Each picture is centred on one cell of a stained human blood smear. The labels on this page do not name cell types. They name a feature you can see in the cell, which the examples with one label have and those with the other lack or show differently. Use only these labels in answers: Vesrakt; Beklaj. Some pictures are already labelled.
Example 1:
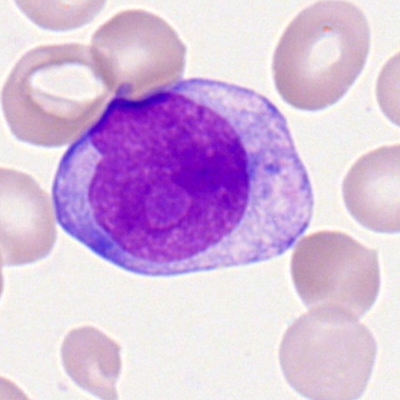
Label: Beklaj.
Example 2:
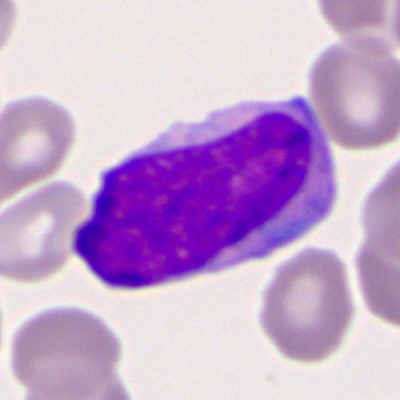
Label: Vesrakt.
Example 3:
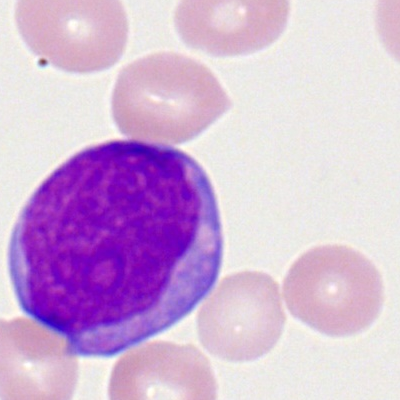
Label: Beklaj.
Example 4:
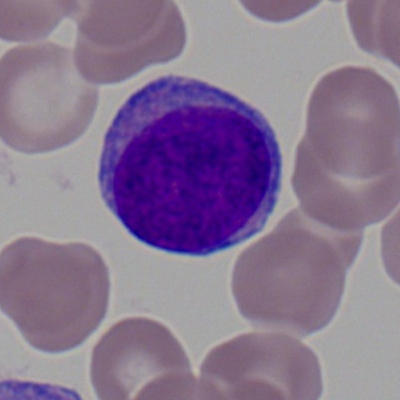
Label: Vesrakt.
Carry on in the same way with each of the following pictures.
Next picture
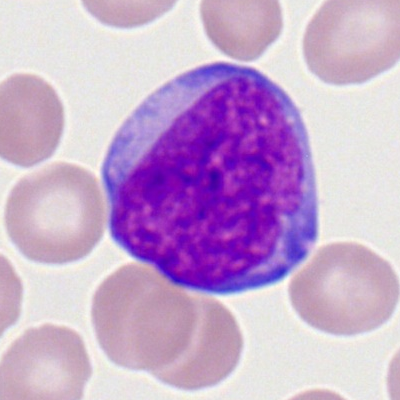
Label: Vesrakt.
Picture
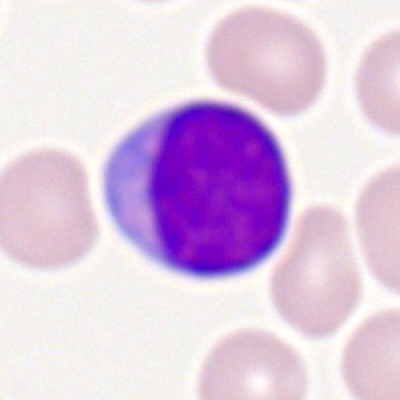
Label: Vesrakt.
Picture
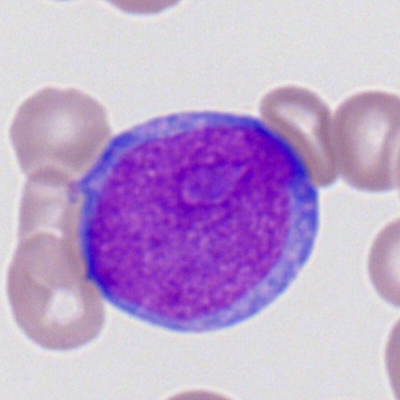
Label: Beklaj.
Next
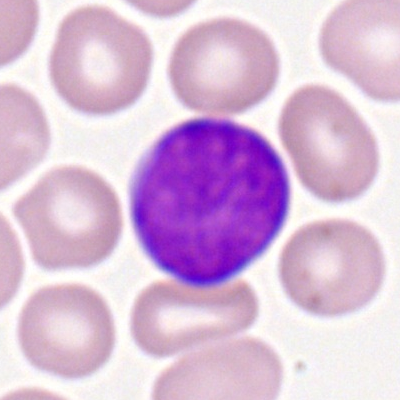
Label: Vesrakt.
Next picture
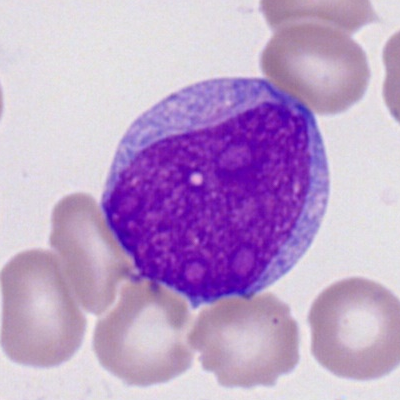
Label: Beklaj.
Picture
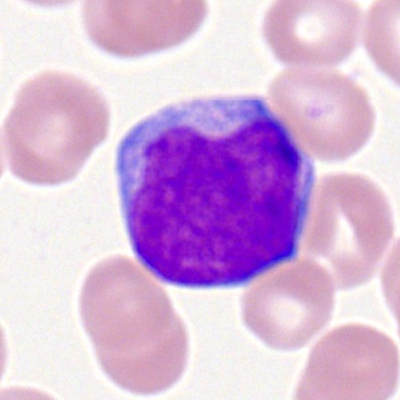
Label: Vesrakt.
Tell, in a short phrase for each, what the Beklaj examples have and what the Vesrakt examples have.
Beklaj, nucleolus visible; Vesrakt, no visible nucleolus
